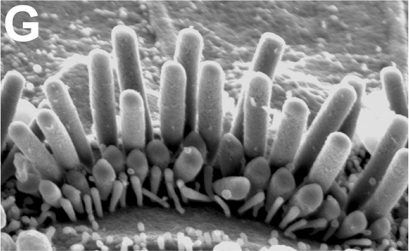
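The stereocilia are arranged in rows of graded height along a gently curved line. The tallest row consists of thick, cylindrical stereocilia with rounded tips, standing closely side by side. In front of them shorter rows of stereocilia are visible, some with bulbous tips, and the shortest are thin and slender. Small microvilli-like projections dot the surrounding cell surface.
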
